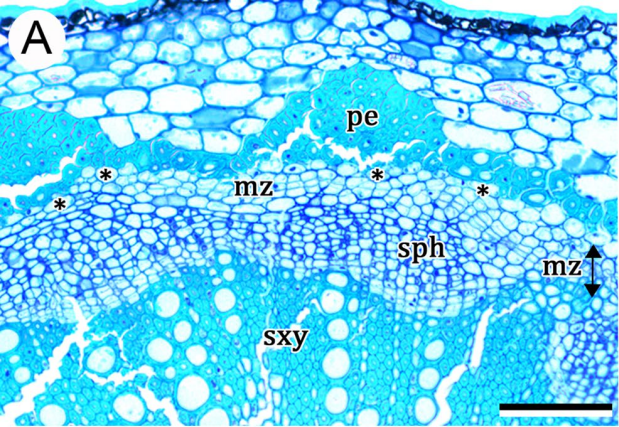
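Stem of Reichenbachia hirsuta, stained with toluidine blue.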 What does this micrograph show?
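A stem cross-section shows a meristematic zone of small, thin-walled cells lying between a cap of thick-walled pericyclic fibres outside and secondary phloem and secondary xylem inside. The xylem holds wide, round vessels among smaller cells in radial files, and the outer cortex has large, rounded parenchyma cells.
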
